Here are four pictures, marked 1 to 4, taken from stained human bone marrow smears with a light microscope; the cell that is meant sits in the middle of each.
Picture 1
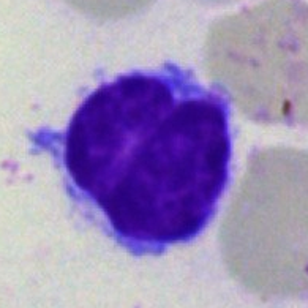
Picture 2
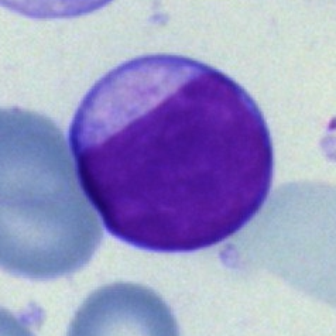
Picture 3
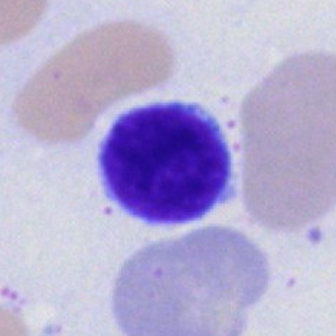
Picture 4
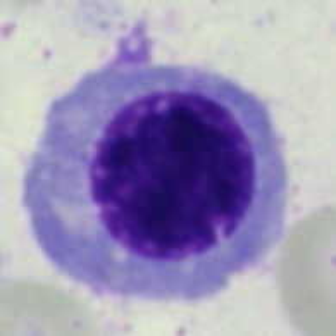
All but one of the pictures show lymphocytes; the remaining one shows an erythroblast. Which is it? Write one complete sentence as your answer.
It is picture 4 that shows the erythroblast.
